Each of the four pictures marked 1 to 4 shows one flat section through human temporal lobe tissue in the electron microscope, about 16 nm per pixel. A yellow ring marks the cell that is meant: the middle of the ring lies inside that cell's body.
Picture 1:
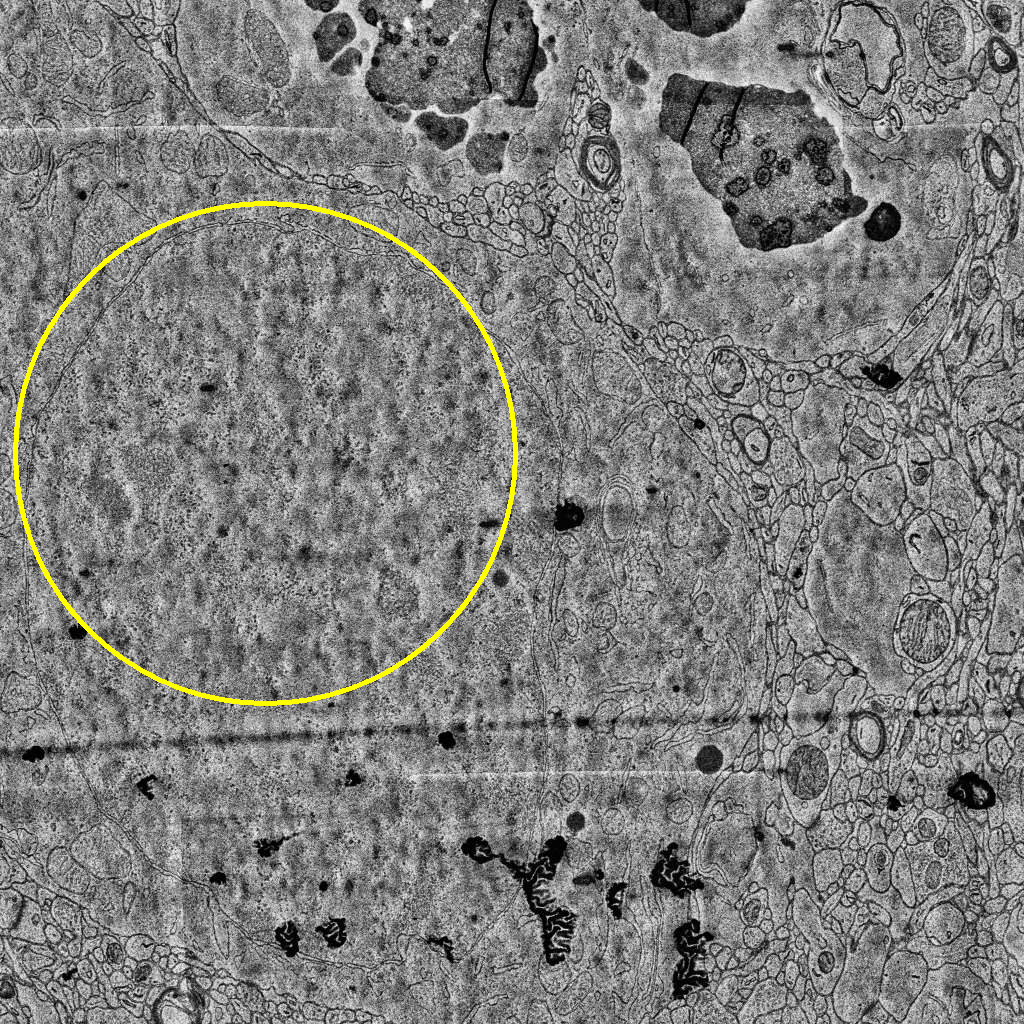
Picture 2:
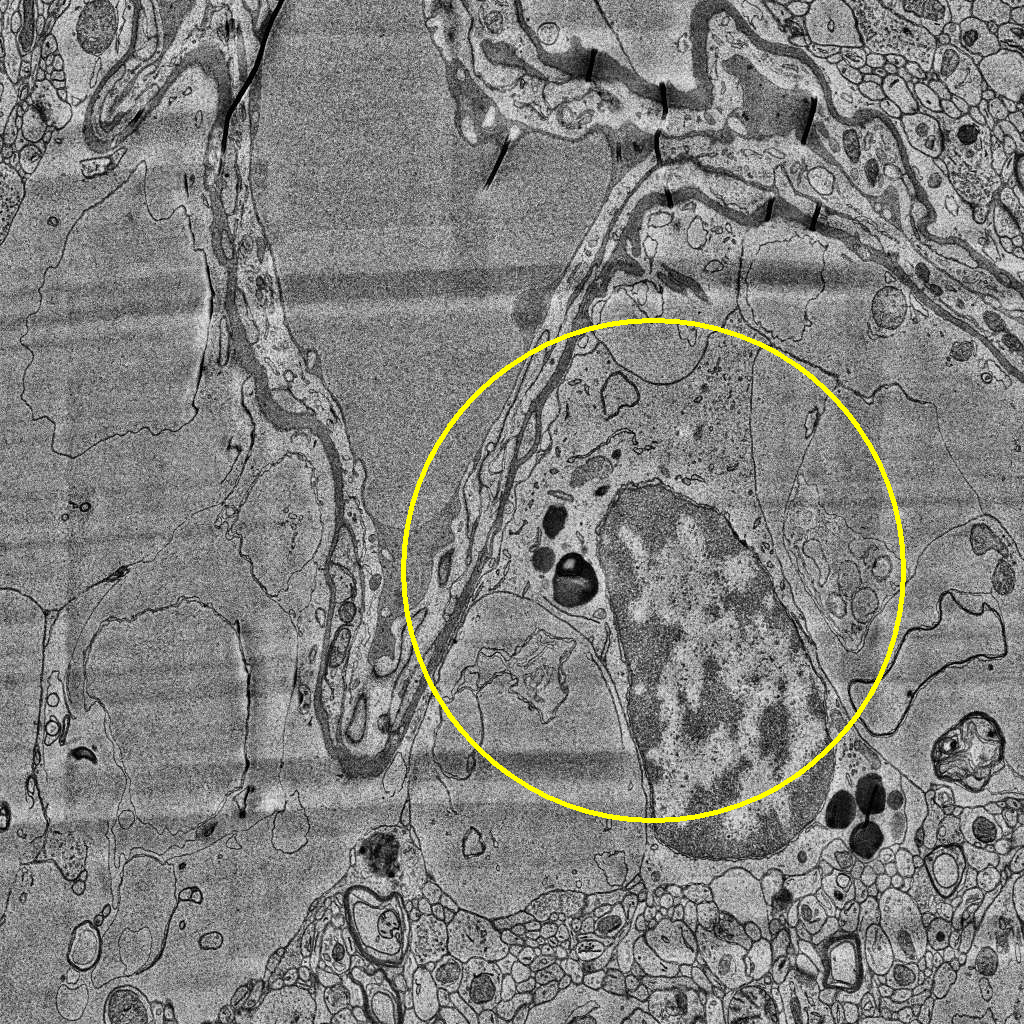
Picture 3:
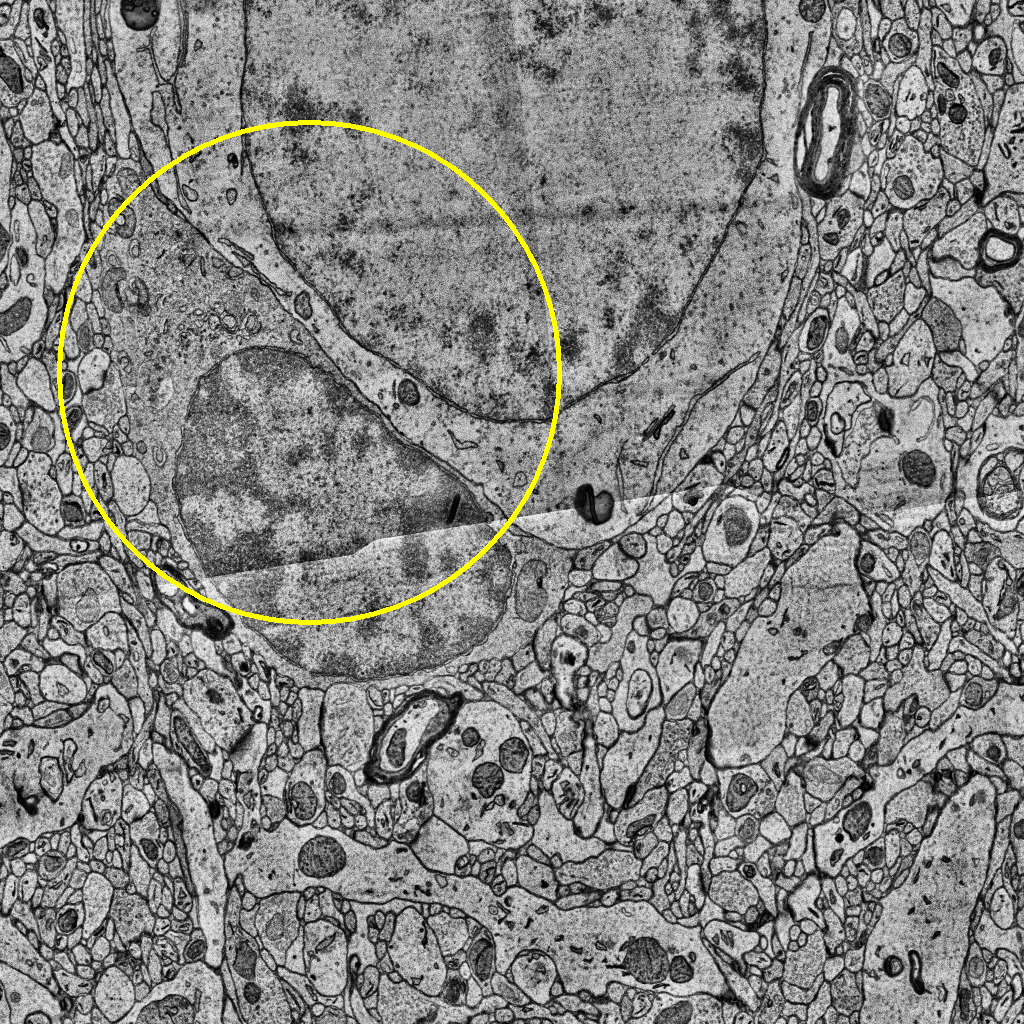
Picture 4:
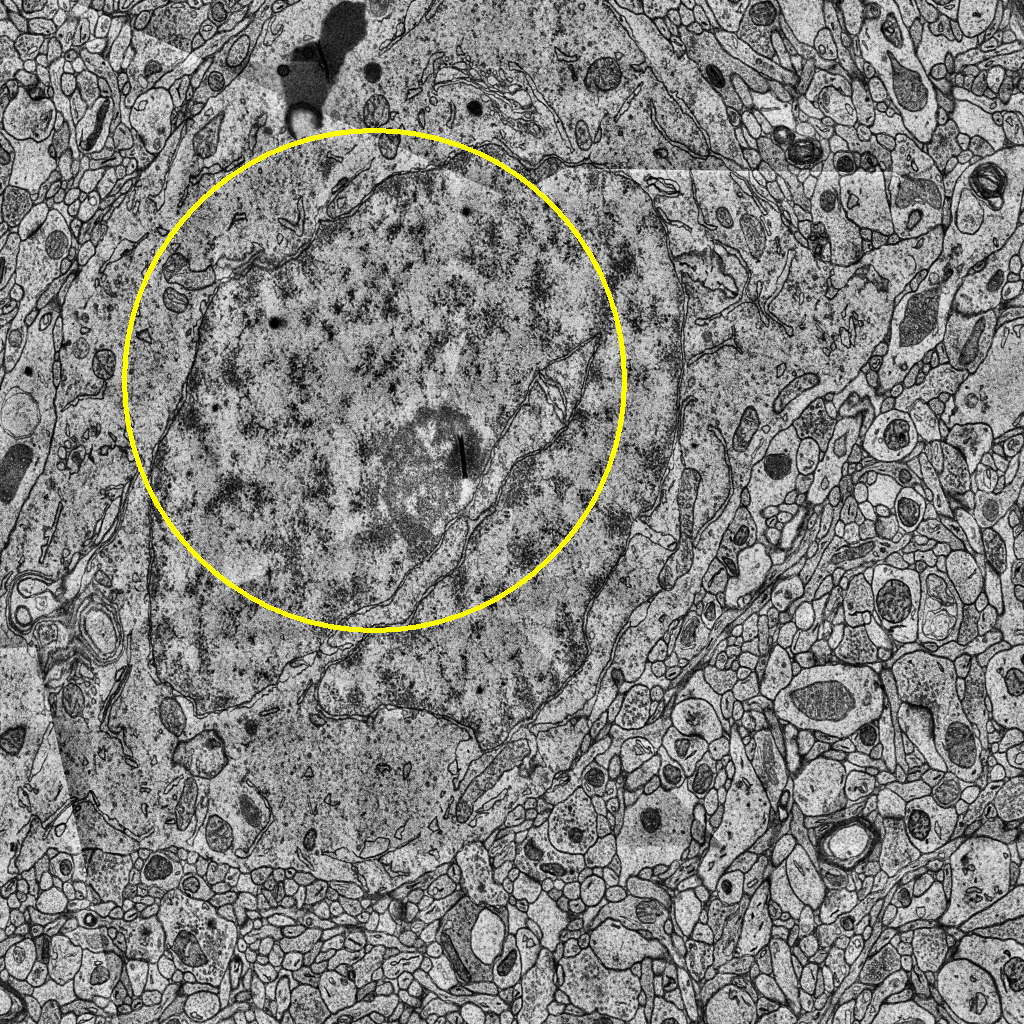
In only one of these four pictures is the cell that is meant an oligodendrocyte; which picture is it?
Picture 3 shows the oligodendrocyte.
